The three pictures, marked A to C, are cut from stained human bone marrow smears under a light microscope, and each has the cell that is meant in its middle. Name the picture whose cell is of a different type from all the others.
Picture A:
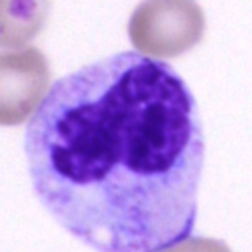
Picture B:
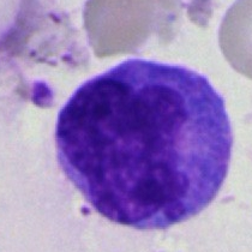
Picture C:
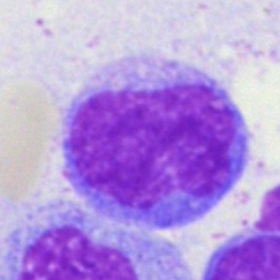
A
